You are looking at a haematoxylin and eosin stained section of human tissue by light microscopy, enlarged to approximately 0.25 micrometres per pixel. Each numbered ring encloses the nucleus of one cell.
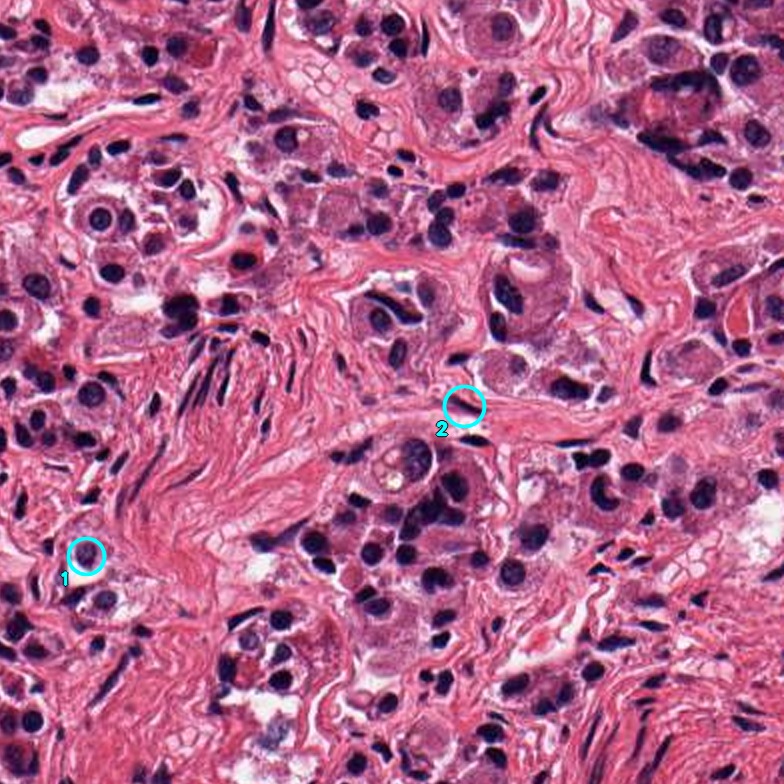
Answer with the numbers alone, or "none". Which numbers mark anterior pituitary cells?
1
